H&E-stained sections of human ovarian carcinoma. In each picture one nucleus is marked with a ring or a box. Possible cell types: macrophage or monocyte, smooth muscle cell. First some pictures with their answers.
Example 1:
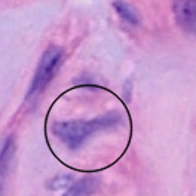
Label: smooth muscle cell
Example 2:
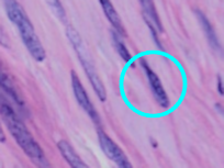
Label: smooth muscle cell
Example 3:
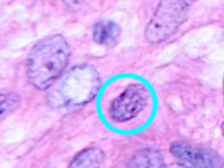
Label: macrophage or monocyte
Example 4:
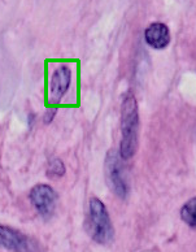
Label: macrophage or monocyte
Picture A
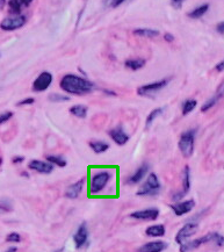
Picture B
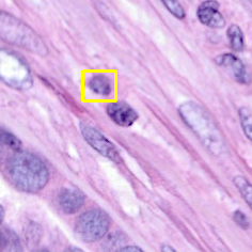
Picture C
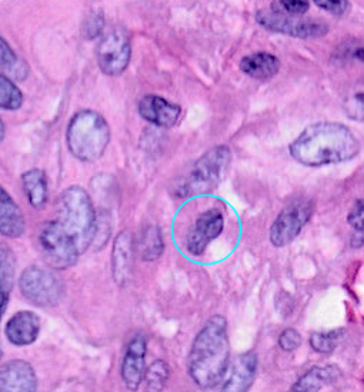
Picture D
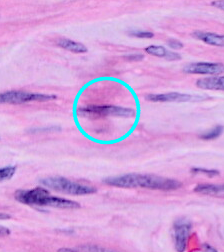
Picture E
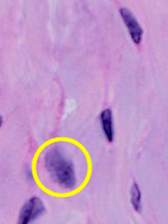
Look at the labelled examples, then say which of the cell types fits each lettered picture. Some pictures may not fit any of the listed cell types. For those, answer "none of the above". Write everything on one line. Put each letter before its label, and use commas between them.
A smooth muscle cell, B macrophage or monocyte, C macrophage or monocyte, D smooth muscle cell, E none of the above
